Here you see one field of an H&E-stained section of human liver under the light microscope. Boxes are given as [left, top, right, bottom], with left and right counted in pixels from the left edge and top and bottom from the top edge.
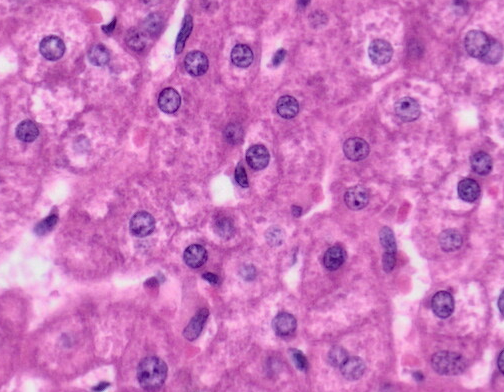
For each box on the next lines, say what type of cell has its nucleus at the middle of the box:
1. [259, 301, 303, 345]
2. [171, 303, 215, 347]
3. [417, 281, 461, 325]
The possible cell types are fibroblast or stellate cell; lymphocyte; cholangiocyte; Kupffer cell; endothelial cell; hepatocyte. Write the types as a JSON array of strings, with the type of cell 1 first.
["hepatocyte", "Kupffer cell", "hepatocyte"]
